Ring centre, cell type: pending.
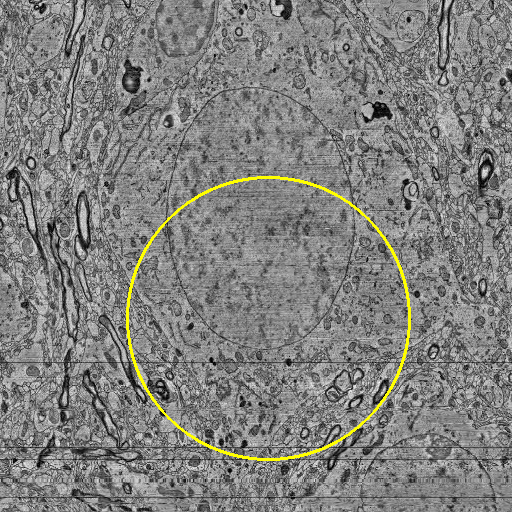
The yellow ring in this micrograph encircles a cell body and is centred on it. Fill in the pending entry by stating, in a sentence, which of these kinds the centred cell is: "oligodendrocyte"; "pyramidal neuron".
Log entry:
The centred cell is recorded as a pyramidal neuron.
